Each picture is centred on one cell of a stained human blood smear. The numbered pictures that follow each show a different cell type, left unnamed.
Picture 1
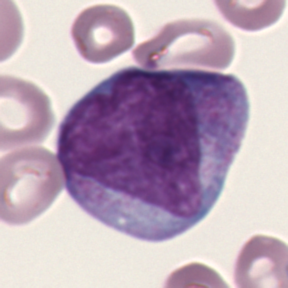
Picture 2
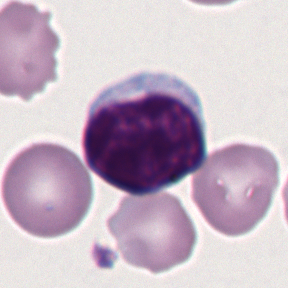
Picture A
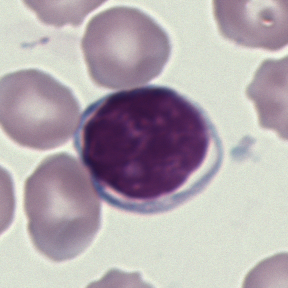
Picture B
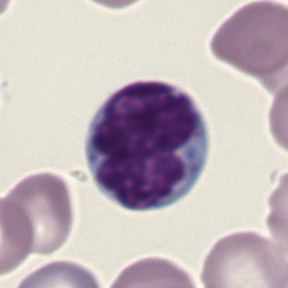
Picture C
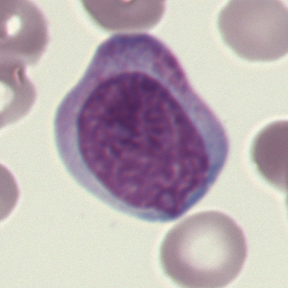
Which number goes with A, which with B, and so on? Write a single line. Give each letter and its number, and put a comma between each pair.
A 2, B 2, C 1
